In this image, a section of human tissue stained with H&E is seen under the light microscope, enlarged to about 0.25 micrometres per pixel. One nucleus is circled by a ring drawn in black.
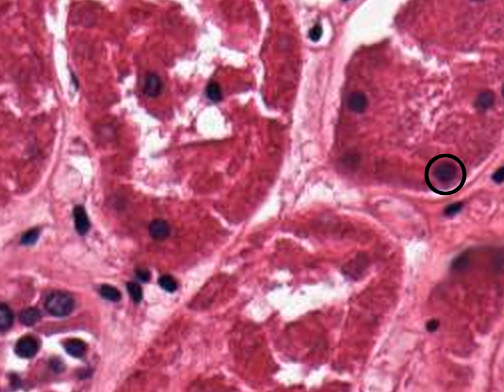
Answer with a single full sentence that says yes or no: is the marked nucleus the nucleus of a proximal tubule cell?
Yes, it is the nucleus of a proximal tubule cell that has been marked.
